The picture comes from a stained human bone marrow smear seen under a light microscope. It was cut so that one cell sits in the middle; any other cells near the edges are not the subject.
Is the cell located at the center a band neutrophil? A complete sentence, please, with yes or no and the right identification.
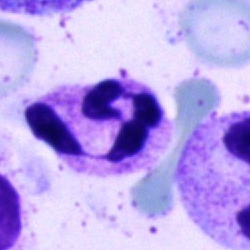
No, the centred cell is a segmented neutrophil, and it is not a band neutrophil.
